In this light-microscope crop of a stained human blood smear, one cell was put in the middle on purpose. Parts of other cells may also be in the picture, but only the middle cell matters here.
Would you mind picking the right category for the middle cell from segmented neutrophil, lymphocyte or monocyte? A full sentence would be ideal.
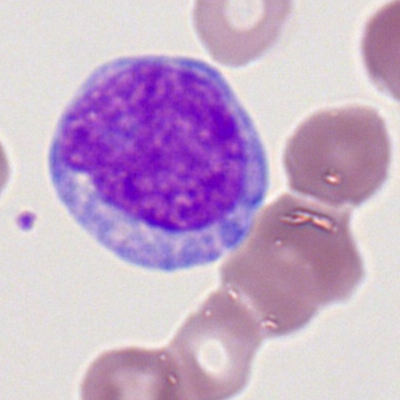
The cell at the centre of the field is a monocyte.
